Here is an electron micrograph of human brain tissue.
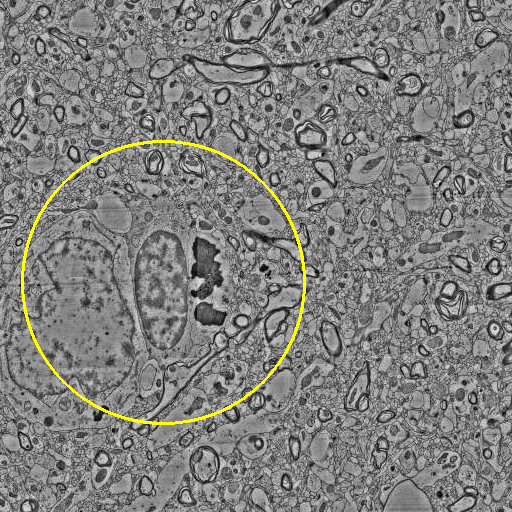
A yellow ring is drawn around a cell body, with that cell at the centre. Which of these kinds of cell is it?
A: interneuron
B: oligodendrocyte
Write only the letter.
B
